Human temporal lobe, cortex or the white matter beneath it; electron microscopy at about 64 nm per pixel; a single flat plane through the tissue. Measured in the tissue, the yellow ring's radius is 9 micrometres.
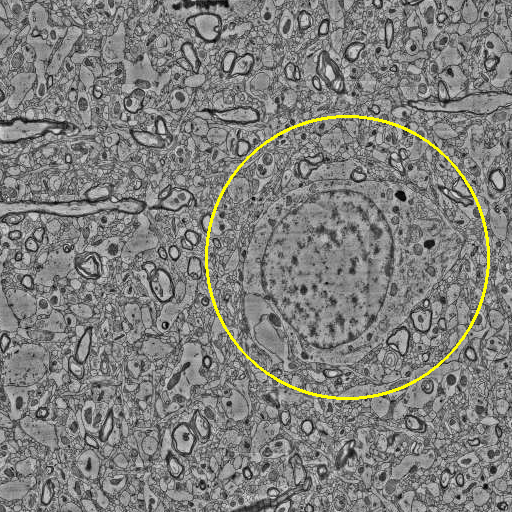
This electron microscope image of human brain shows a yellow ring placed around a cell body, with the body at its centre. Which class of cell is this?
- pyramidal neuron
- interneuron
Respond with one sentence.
The cell body at the ring's centre is an interneuron.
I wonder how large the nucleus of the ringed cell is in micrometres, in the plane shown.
Approximately 10 micrometres long and 9 micrometres wide, in this plane.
